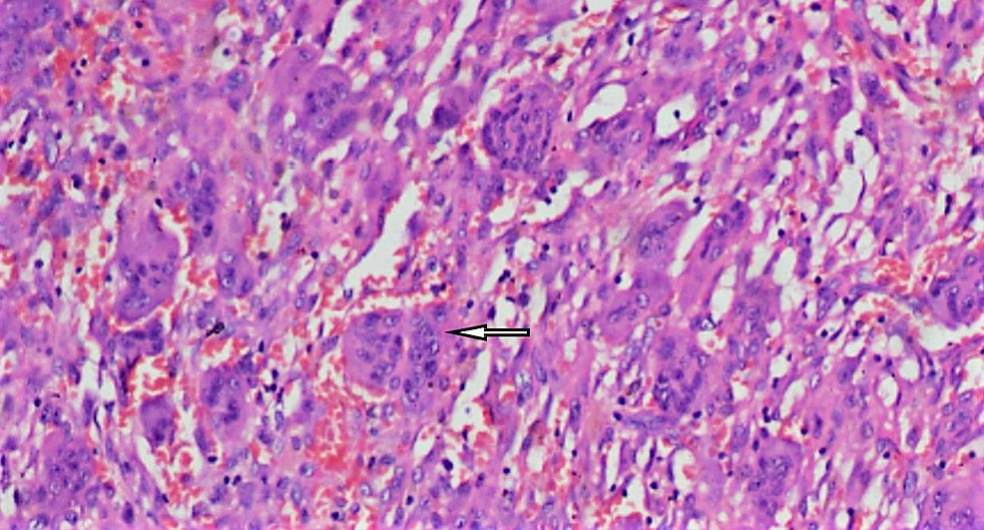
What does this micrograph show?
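This is a cellular, fibrous stroma packed with multinucleated giant cells. The giant cells are large, with plentiful pink cytoplasm and clusters of many small oval nuclei, often gathered toward the centre of the cell. They are spread fairly evenly across the field rather than grouped in one spot. Between them lie plump spindle to oval stromal cells, each with a single nucleus, set in pink fibrous matrix. Red blood cells are scattered widely through the tissue, and there are many small clear slit-like spaces, giving a loose, blood-rich appearance around the giant cells.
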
